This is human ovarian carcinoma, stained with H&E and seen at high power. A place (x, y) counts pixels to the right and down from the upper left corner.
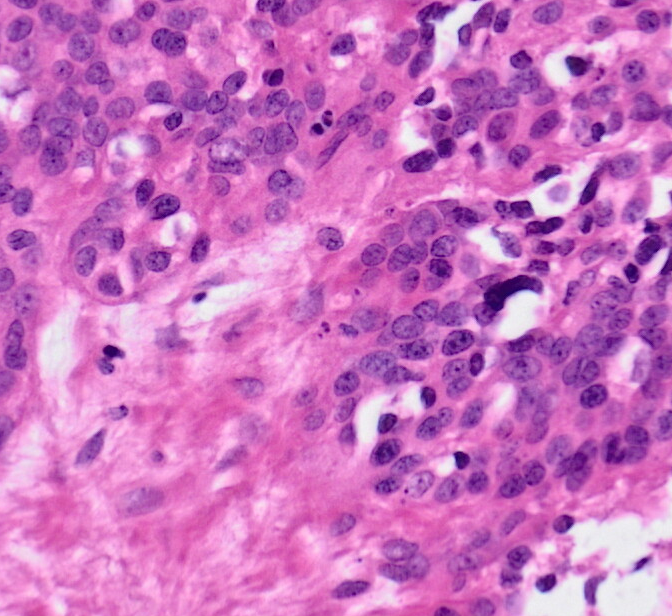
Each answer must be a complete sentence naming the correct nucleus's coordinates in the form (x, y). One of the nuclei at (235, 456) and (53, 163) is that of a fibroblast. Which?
It is the nucleus at (235, 456) that belongs to a fibroblast.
